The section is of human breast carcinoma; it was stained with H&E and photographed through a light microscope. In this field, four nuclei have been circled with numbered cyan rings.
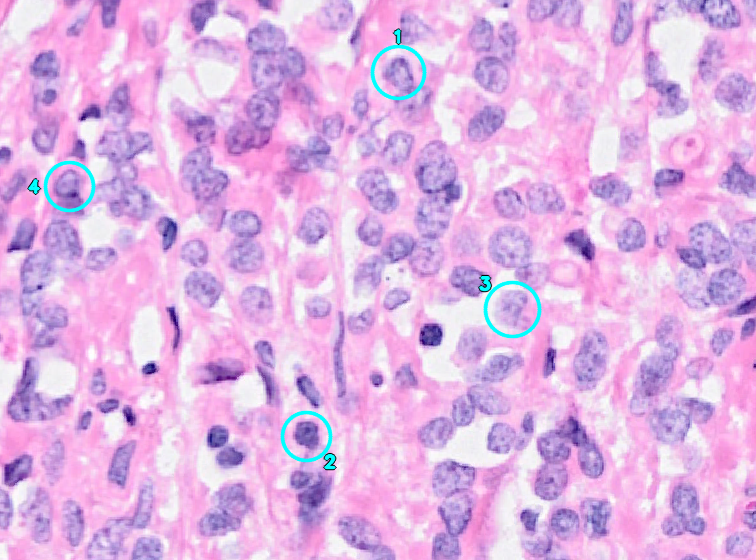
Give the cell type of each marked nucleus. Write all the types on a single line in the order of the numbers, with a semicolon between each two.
carcinoma cell; lymphocyte; carcinoma cell; carcinoma cell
